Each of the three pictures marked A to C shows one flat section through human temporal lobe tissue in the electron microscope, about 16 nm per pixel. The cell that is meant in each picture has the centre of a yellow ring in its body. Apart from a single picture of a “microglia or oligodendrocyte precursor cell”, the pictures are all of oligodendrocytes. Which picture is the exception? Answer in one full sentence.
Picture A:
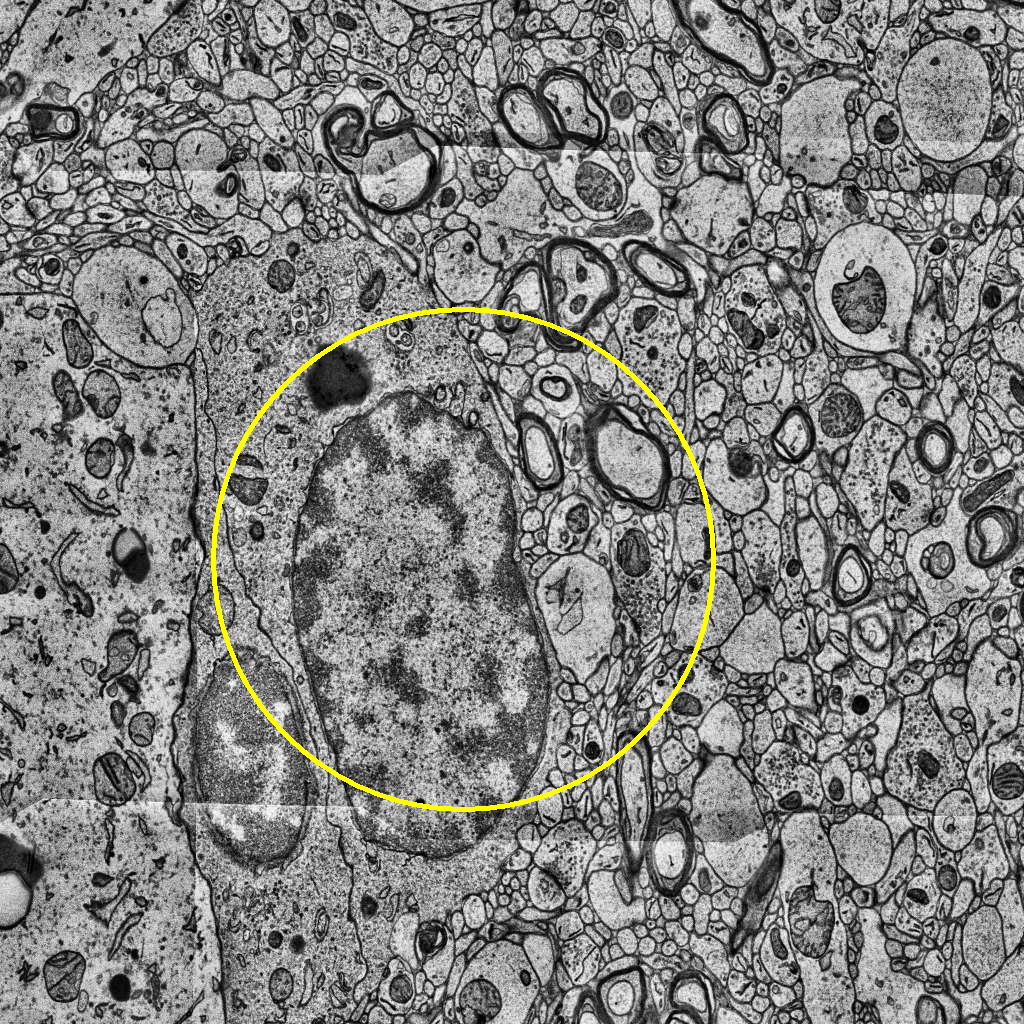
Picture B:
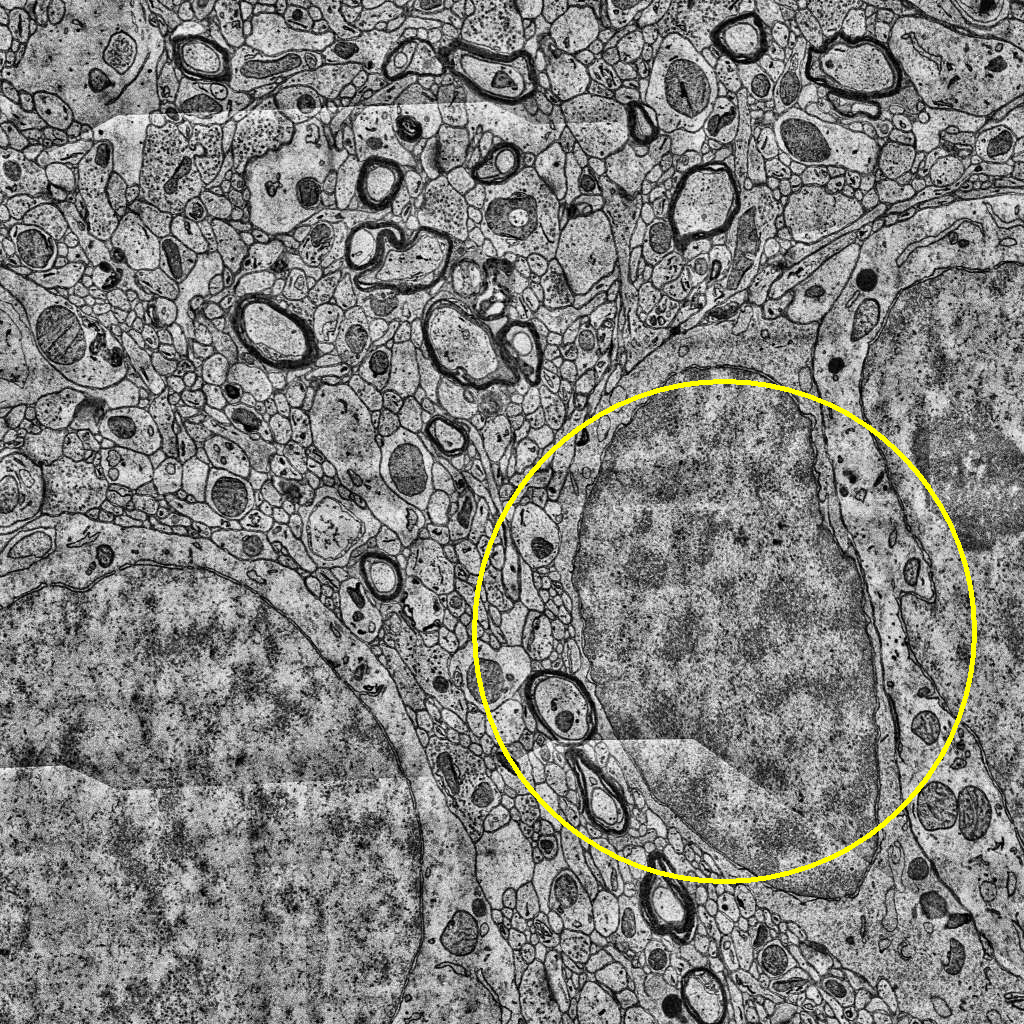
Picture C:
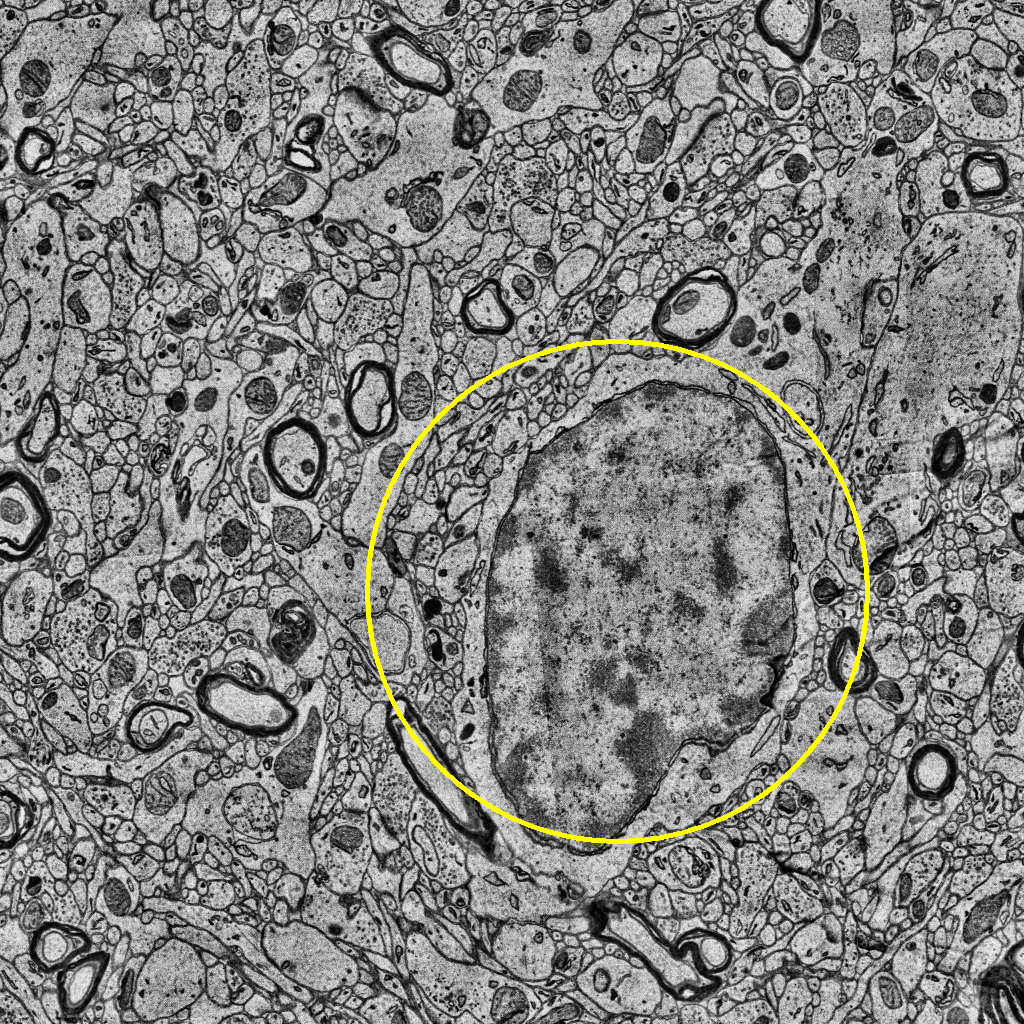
The “microglia or oligodendrocyte precursor cell” is the one in picture C.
